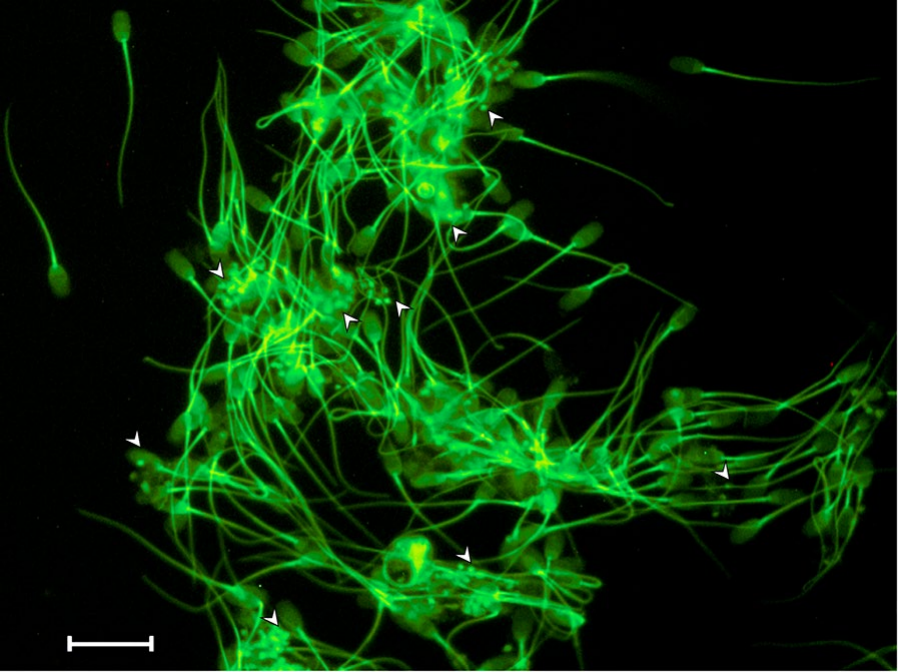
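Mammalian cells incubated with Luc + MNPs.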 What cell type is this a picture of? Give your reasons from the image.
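Spermatozoa. Many cells each have a small oval head and a single long thin tail. The tails are many times longer than the heads. Isolated cells at the edges show the head-and-tail outline clearly.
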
